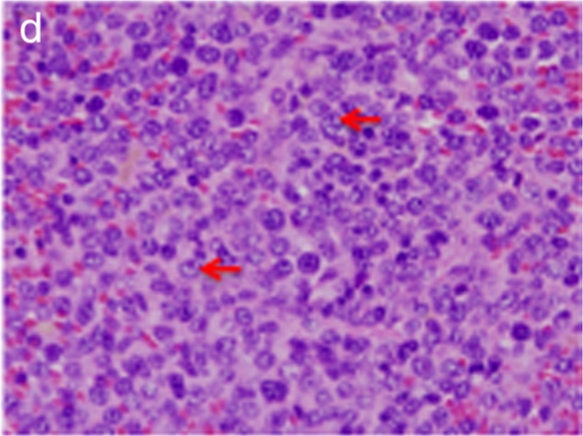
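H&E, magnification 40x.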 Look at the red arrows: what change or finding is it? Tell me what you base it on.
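The marked cells are large with round vesicular nuclei. Cytoplasm around the marked nuclei is scant.
Conclusion: centroblastic cytology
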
